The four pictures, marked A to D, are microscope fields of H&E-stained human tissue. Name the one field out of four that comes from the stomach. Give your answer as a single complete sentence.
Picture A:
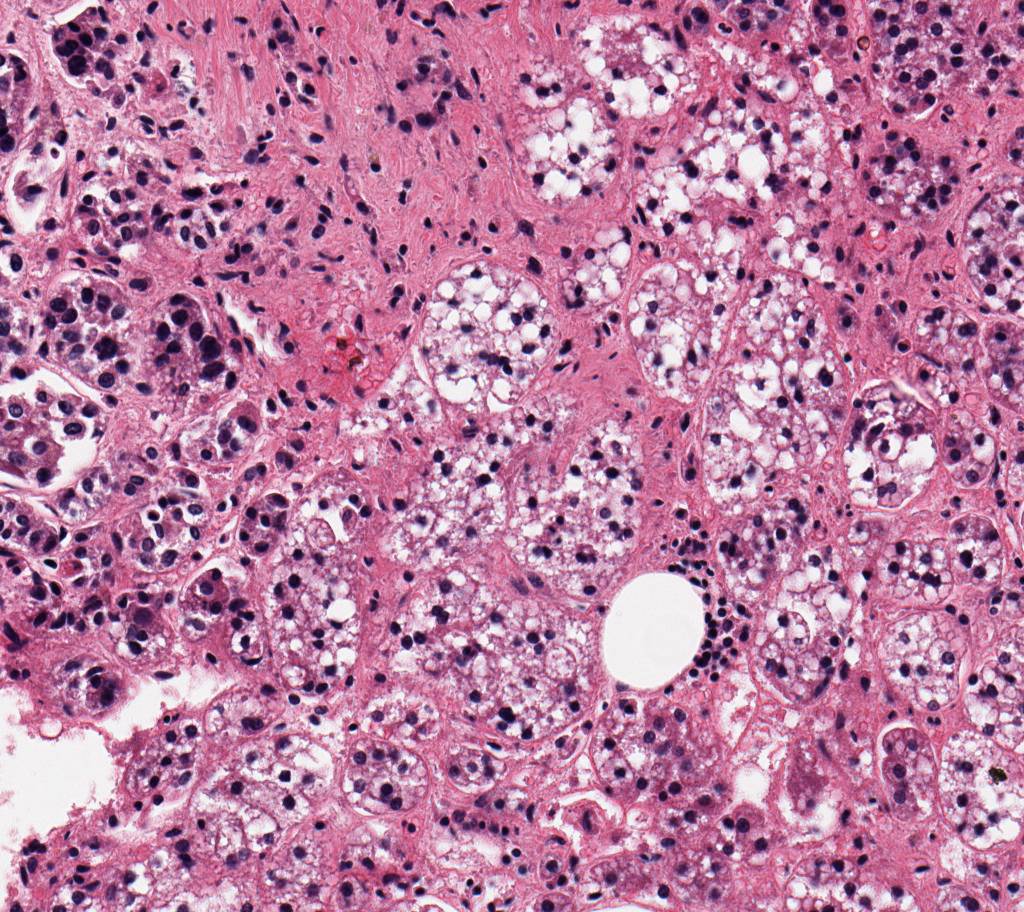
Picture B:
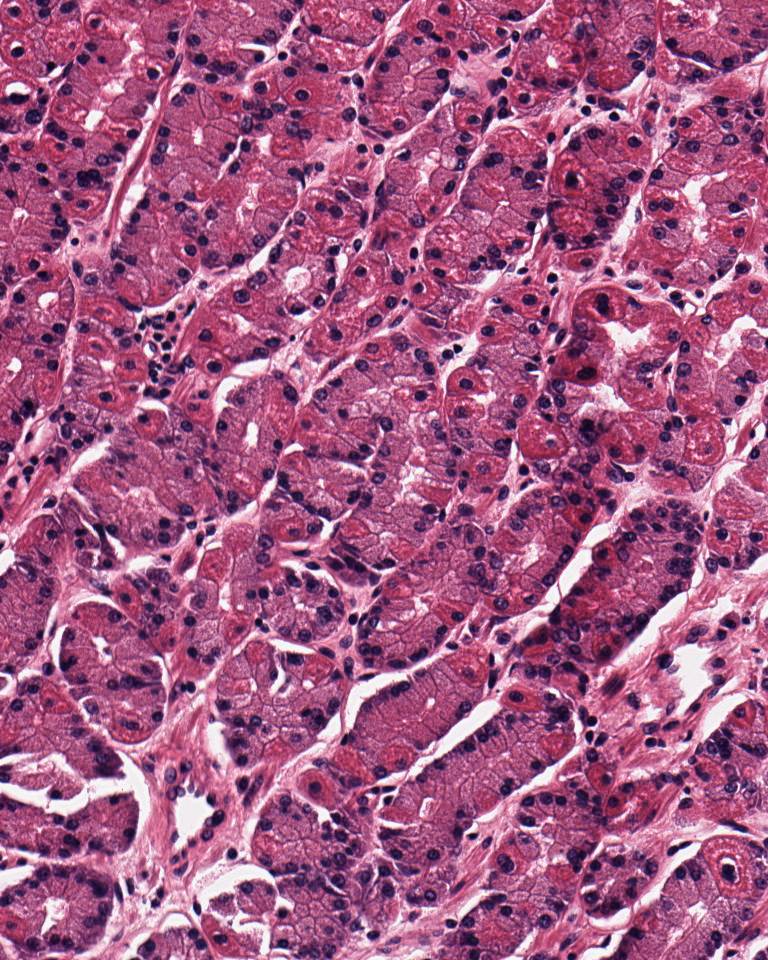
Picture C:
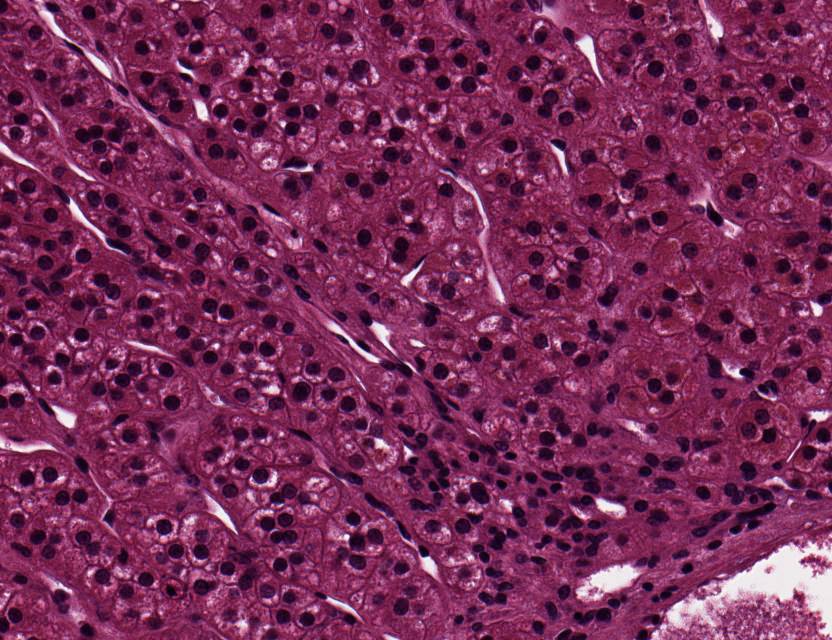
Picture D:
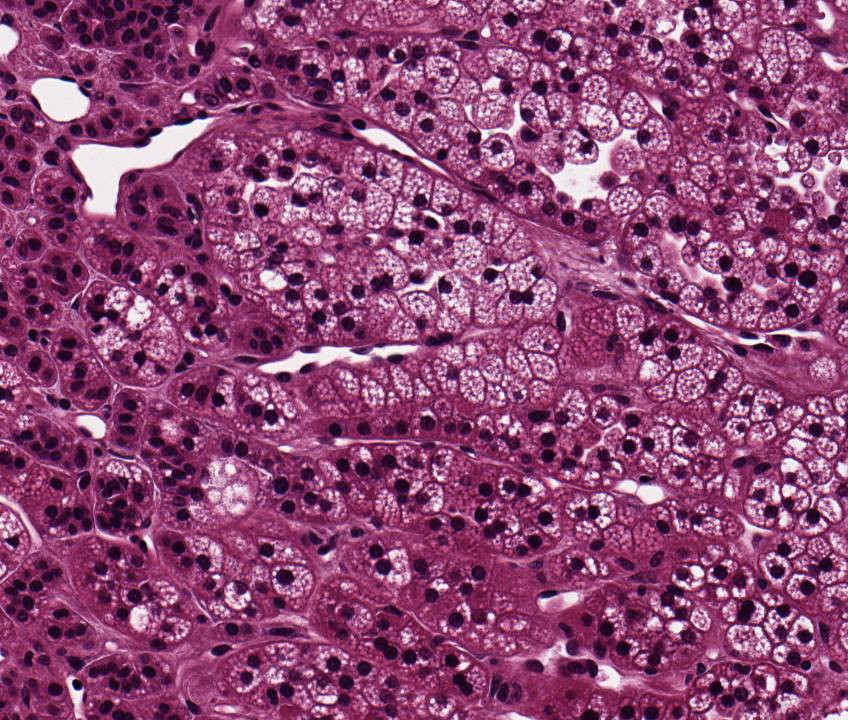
Picture B is the field that comes from the stomach.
